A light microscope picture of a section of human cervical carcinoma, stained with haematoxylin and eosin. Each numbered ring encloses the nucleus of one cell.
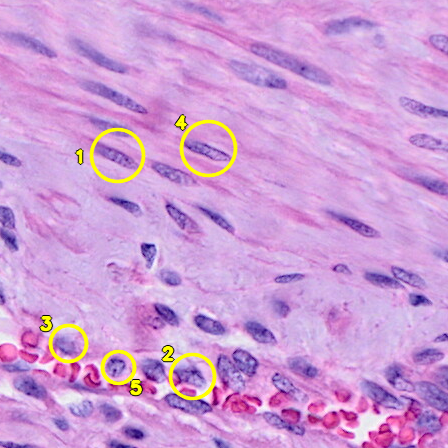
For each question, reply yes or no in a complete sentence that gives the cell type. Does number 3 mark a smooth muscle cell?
No, calling cell 3 a smooth muscle cell is a mistake; it is an endothelial cell.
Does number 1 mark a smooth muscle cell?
Yes, the cell distinguished by number 1 is a smooth muscle cell.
